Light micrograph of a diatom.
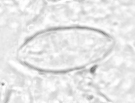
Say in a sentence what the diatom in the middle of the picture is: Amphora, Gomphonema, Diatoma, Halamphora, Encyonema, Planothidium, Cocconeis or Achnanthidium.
This is Achnanthidium.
